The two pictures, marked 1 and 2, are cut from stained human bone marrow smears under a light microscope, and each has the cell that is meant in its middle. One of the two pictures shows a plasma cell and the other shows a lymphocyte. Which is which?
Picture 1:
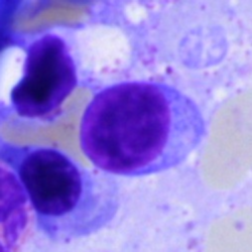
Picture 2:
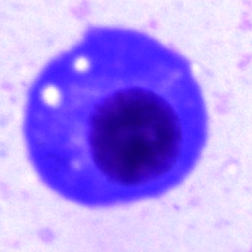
1: lymphocyte
2: plasma cell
